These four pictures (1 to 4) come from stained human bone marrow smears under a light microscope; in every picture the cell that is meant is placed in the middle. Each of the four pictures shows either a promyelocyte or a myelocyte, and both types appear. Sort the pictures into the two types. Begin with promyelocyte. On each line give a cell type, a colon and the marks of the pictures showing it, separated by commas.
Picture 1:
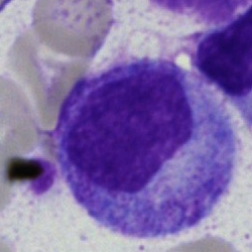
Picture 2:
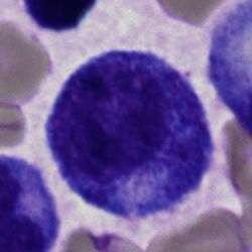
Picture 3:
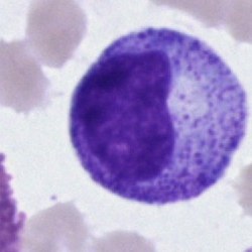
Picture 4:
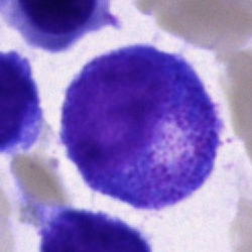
promyelocyte: 2, 3, 4
myelocyte: 1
